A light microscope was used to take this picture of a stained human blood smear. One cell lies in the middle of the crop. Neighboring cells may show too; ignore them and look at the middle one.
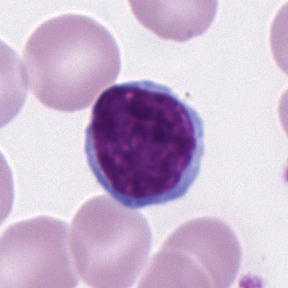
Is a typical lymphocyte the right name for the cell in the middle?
yes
